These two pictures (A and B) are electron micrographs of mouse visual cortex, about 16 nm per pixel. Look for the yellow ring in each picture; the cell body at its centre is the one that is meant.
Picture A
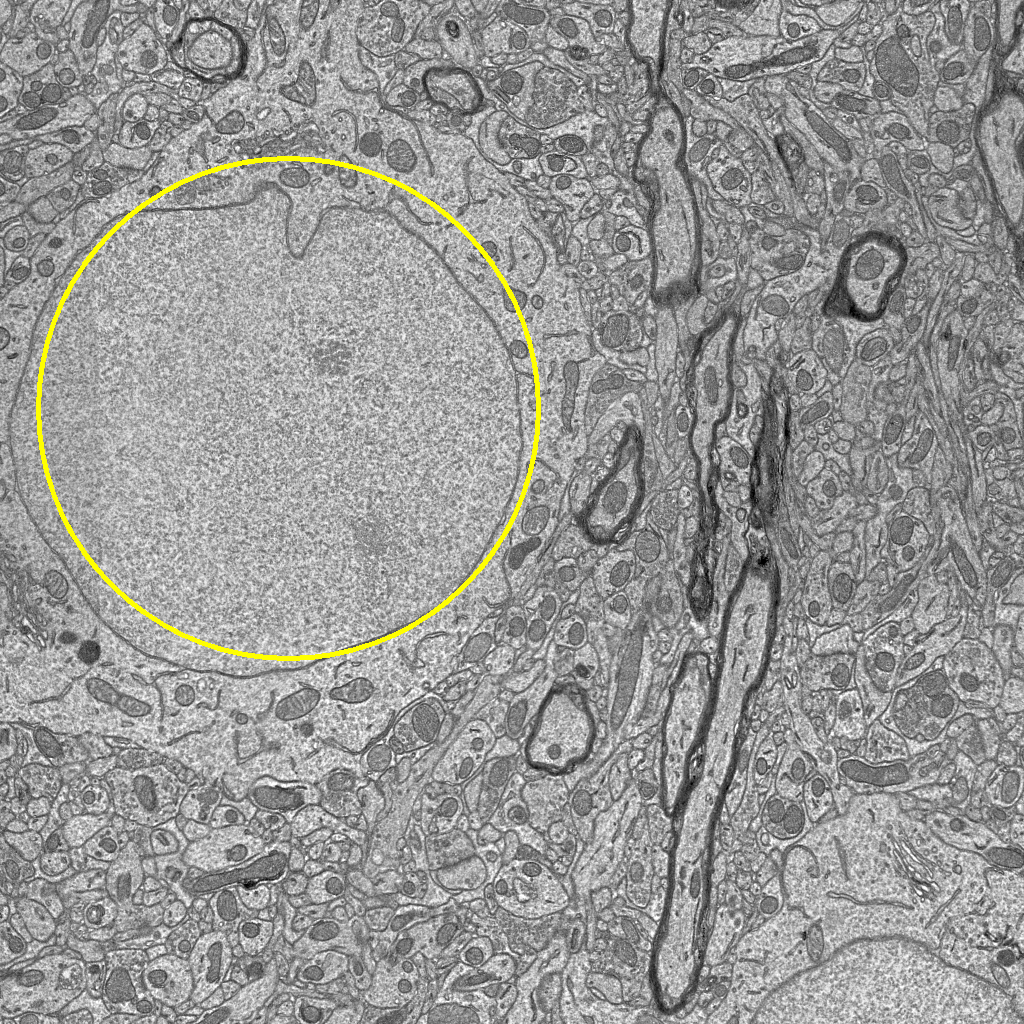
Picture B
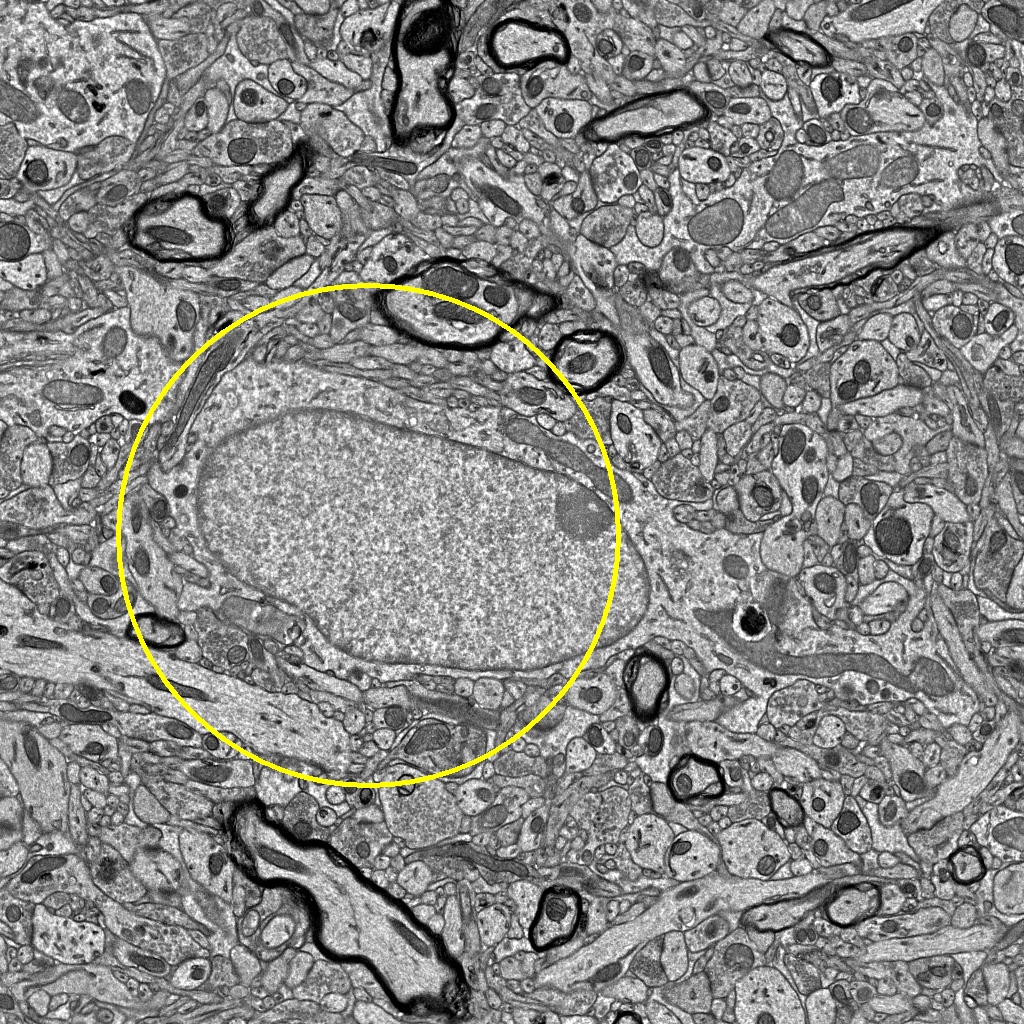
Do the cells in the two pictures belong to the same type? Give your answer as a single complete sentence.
No; the cell in picture A is an excitatory neuron, while the one in picture B is an astrocyte.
